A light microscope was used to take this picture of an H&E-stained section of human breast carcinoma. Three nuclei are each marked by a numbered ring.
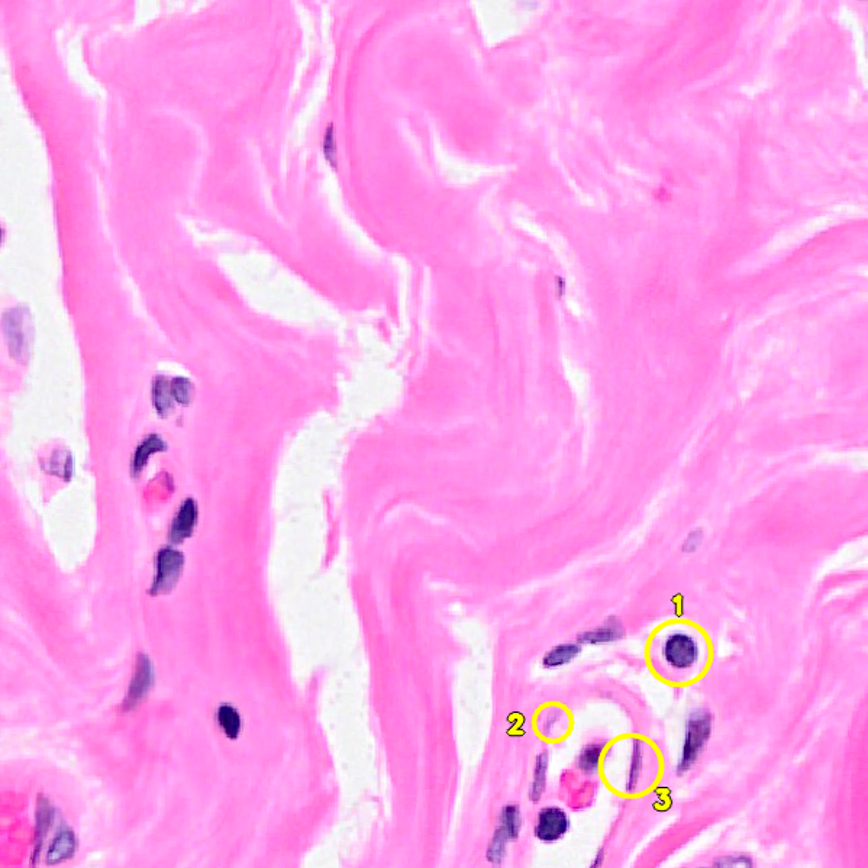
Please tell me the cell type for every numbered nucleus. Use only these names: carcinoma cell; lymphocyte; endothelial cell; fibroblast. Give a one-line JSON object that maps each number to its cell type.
{"1": "lymphocyte", "2": "endothelial cell", "3": "endothelial cell"}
